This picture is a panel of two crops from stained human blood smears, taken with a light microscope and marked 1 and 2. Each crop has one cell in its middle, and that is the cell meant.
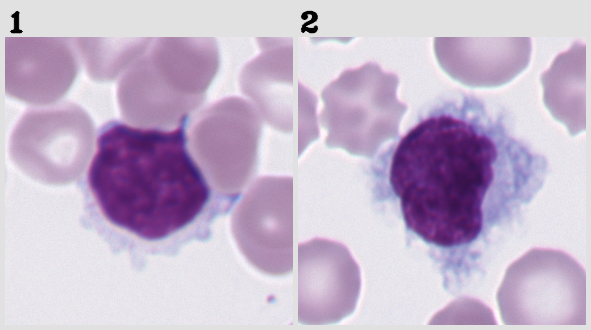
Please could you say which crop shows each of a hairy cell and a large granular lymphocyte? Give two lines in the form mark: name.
1: large granular lymphocyte
2: hairy cell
